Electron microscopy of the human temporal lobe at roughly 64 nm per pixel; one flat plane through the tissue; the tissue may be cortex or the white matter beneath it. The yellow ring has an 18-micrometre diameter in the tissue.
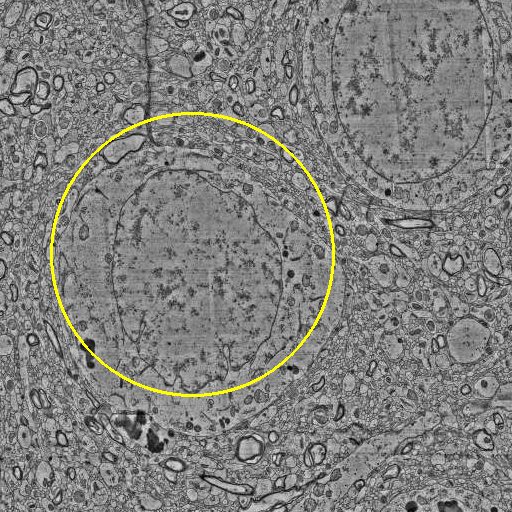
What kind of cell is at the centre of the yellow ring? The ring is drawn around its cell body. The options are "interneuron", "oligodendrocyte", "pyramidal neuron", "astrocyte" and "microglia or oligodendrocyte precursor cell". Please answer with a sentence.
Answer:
The yellow ring marks the cell body of a pyramidal neuron.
